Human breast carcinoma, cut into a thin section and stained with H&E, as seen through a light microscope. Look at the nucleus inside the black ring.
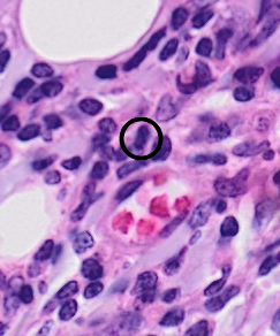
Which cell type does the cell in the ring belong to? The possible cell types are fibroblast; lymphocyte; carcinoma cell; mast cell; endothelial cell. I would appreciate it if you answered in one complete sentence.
Within this tissue, the cell in the ring is a lymphocyte.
